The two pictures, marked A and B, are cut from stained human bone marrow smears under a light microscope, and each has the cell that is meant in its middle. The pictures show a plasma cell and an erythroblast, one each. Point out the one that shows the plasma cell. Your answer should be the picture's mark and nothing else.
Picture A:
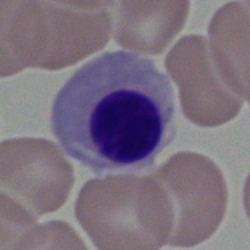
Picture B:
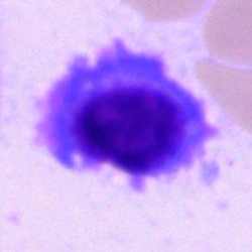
B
